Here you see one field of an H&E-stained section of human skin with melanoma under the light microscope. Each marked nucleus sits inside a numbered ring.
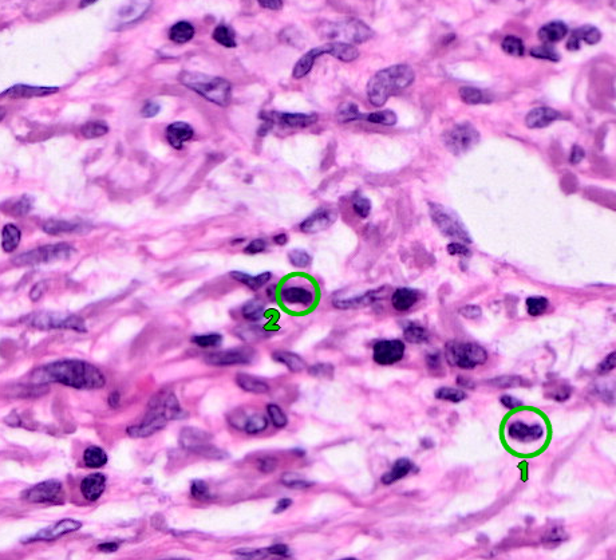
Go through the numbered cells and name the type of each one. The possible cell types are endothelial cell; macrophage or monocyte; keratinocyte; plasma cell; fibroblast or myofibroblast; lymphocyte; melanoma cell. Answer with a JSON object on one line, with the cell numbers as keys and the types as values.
{"1": "lymphocyte", "2": "plasma cell"}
